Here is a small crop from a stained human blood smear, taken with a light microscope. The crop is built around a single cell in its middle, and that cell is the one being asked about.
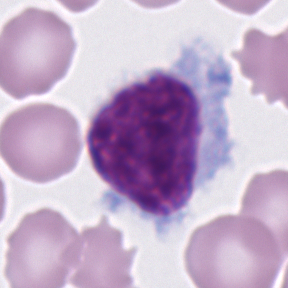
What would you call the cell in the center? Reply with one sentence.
The central cell, amid any neighbouring cells, is a hairy cell.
